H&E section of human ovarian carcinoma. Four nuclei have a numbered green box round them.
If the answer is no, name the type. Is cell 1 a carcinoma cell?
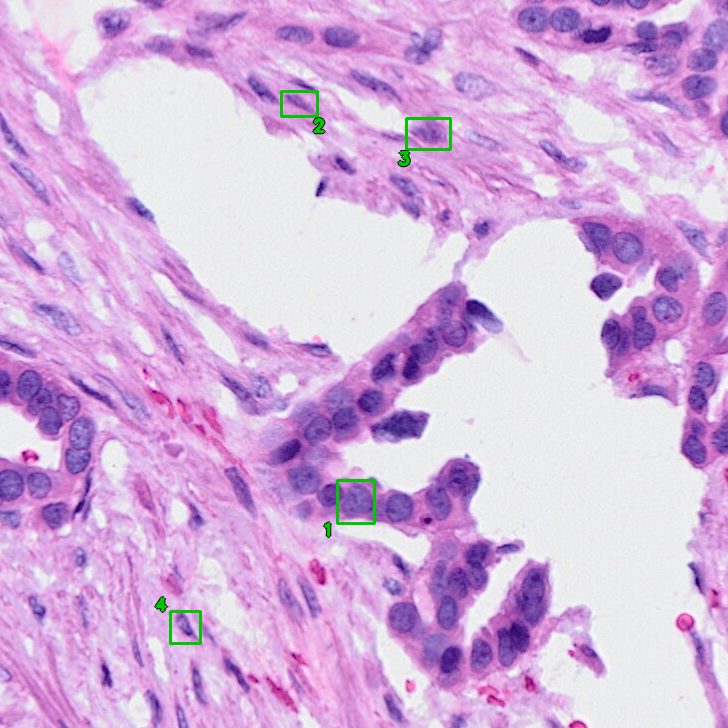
Yes.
